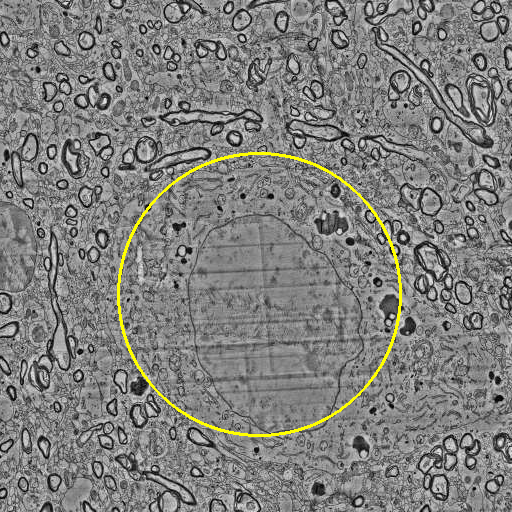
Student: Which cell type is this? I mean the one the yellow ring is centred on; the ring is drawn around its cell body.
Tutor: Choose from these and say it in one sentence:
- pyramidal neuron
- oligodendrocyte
The cell the ring is centred on is a pyramidal neuron.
